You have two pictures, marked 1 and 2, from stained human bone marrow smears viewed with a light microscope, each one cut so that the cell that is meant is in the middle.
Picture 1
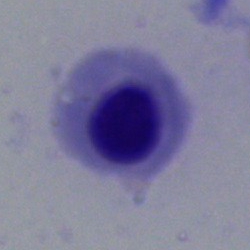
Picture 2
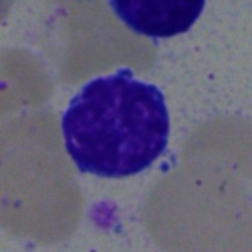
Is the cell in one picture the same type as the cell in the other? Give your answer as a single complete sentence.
No, picture 1 shows an erythroblast and picture 2 shows a lymphocyte.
